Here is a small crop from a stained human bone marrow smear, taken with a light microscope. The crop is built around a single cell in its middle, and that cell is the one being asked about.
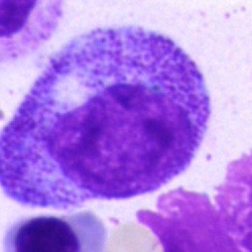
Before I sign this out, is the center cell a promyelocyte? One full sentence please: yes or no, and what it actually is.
Yes, the cell at the crop's center is a promyelocyte.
